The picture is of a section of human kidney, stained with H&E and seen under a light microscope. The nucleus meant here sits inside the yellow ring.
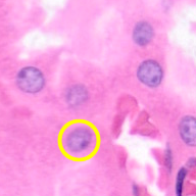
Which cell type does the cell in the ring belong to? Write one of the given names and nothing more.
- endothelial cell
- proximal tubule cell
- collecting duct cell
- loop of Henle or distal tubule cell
proximal tubule cell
